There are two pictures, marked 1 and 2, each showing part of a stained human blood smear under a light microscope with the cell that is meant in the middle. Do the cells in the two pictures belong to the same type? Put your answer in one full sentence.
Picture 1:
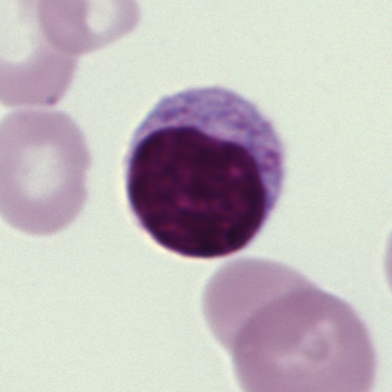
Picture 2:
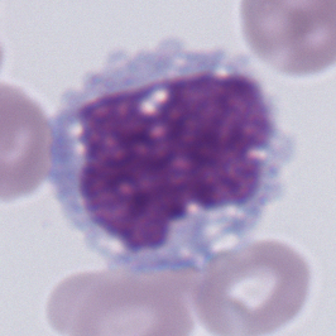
No; the cell in picture 1 is a large granular lymphocyte, while the one in picture 2 is a monocyte.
